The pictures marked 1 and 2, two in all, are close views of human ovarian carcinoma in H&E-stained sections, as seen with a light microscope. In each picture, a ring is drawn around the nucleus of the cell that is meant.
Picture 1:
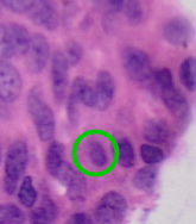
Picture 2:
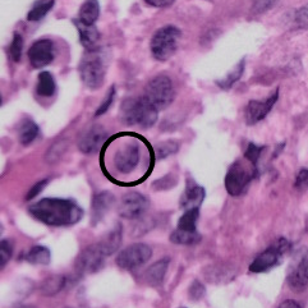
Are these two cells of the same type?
no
